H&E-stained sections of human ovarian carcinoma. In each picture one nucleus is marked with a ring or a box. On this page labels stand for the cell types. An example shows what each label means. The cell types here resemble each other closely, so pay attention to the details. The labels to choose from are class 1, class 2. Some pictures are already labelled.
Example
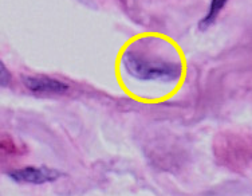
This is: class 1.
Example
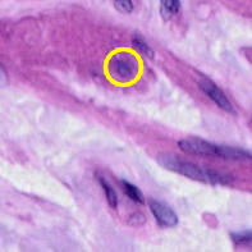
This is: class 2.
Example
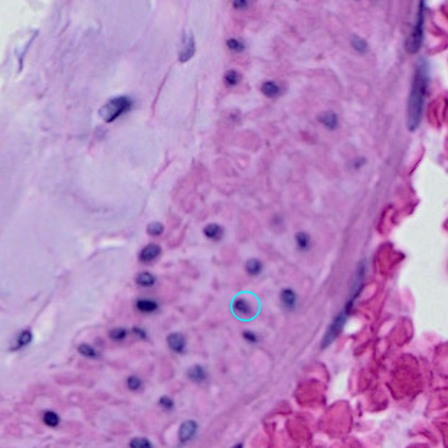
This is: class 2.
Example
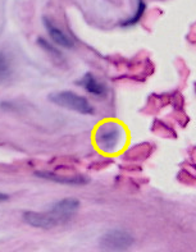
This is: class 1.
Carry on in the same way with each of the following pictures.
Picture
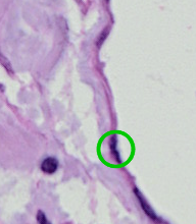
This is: class 1.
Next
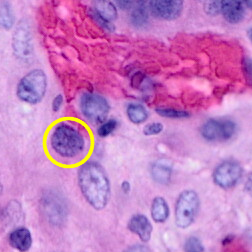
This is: class 1.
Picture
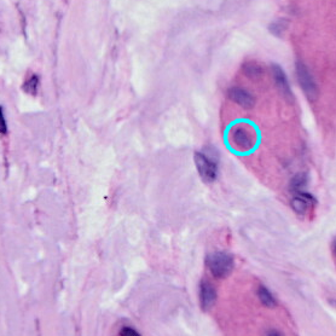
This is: class 2.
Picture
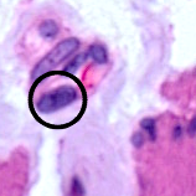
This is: class 1.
